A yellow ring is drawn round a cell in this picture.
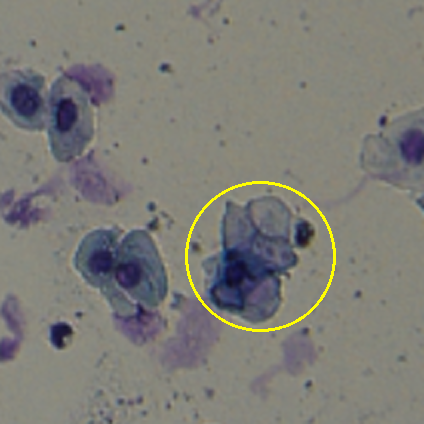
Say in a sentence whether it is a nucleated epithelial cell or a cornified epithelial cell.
The cell in the ring is a cornified epithelial cell.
